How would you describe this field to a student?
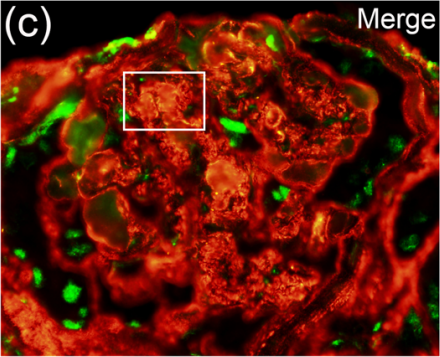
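This is a glomerulus with nodular glomerulosclerosis, its tuft filled with several rounded masses of red-stained matrix. Between and around the masses run thin red-outlined capillary loops, some with dark empty lumens, and the whole tuft is ringed by red capsule and surrounding tubular walls. Bright green oval nuclei are scattered through the tuft and in the tissue outside it, lying mostly at the edges of the red masses rather than within them.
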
